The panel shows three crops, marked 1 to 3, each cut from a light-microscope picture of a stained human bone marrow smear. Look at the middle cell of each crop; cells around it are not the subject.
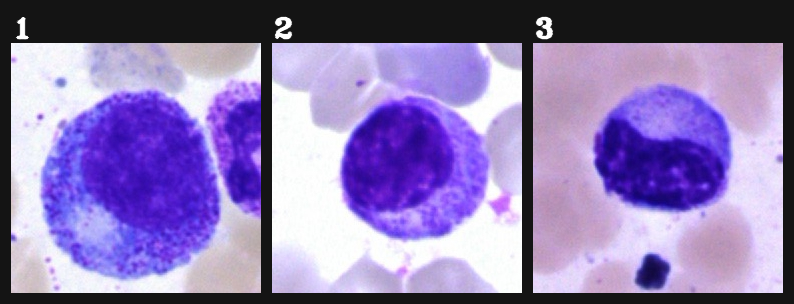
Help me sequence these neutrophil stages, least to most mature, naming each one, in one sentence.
Maturity order, least to most: crop 1 (a promyelocyte), crop 2 (a myelocyte) and crop 3 (a metamyelocyte).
